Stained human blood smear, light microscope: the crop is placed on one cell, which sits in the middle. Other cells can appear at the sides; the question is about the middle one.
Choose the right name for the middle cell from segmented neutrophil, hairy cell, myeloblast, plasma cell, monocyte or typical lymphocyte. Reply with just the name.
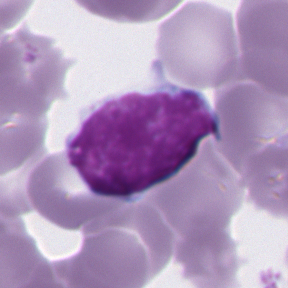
typical lymphocyte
